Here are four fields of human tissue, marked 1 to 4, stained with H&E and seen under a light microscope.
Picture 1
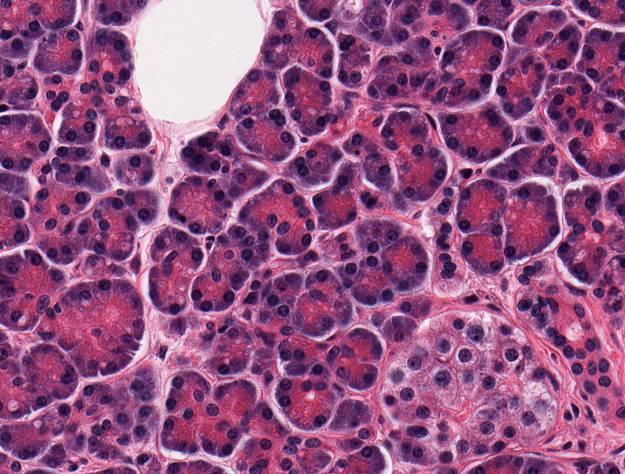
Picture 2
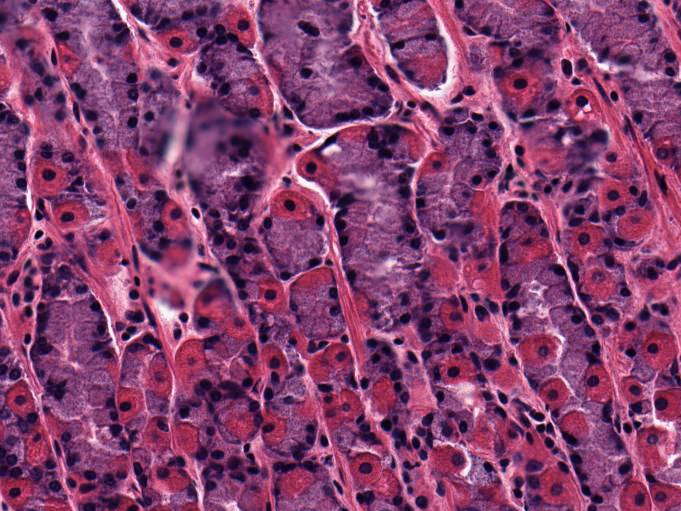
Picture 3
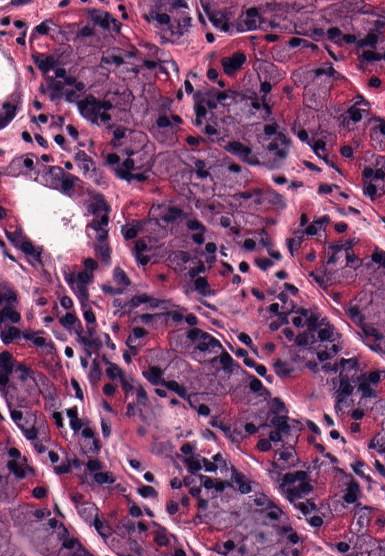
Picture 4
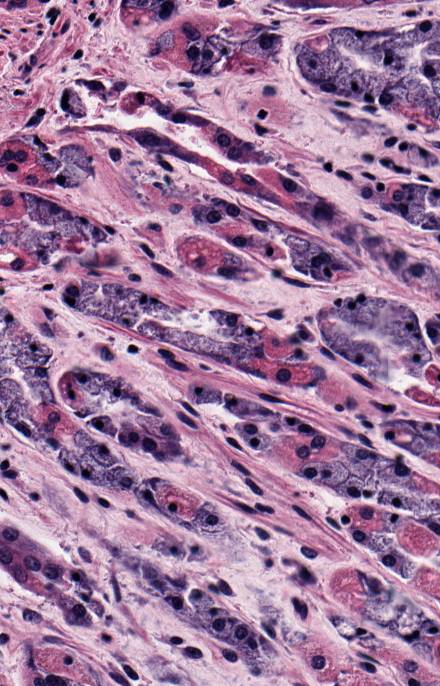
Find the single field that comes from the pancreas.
1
